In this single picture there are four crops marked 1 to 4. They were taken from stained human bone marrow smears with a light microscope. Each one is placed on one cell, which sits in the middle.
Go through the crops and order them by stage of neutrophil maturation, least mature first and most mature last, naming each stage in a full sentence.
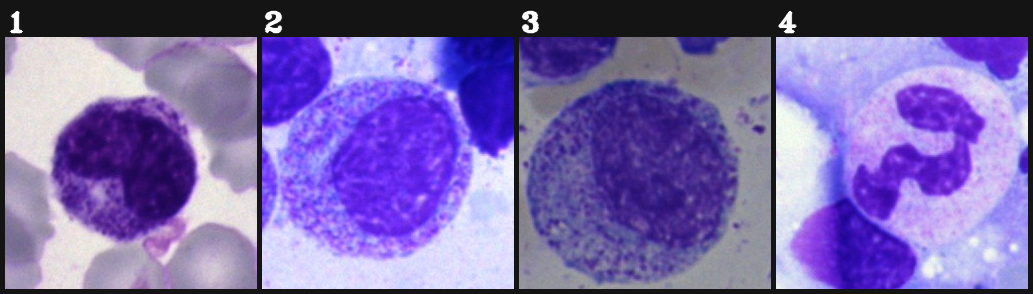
Ranked from the least mature cell to the most mature, they are crop 3 (a promyelocyte), crop 2 (a myelocyte), crop 1 (a metamyelocyte) and crop 4 (a segmented neutrophil).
